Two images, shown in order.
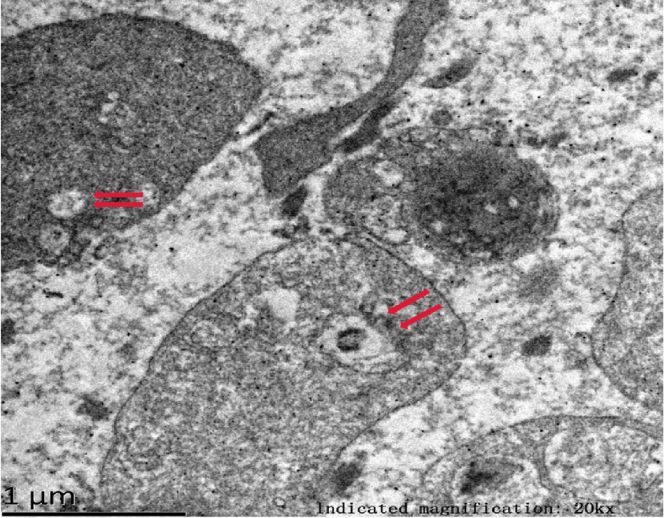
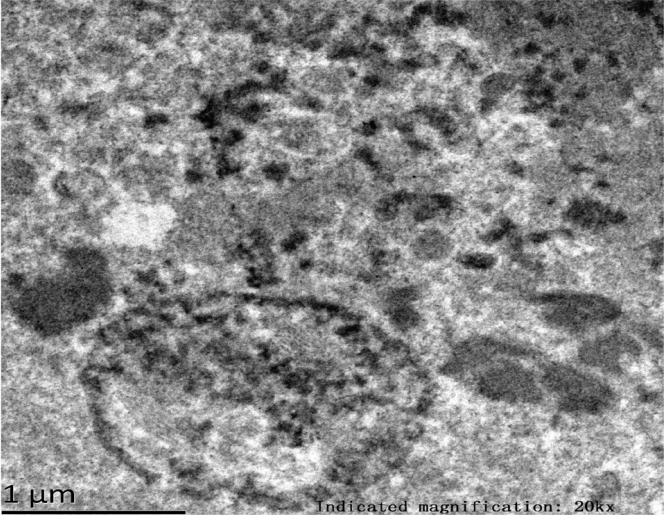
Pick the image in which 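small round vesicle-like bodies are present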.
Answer: The first image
